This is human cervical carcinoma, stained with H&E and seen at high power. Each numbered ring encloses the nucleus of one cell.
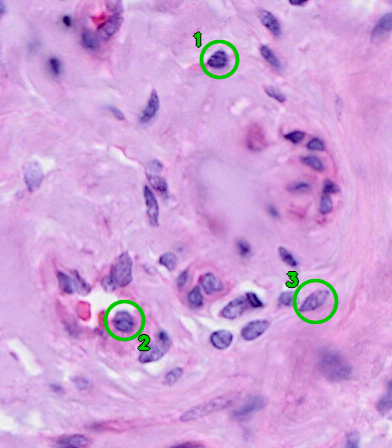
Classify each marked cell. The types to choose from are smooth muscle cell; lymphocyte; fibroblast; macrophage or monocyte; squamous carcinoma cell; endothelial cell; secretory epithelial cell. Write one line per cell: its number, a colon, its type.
1: lymphocyte
2: endothelial cell
3: fibroblast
